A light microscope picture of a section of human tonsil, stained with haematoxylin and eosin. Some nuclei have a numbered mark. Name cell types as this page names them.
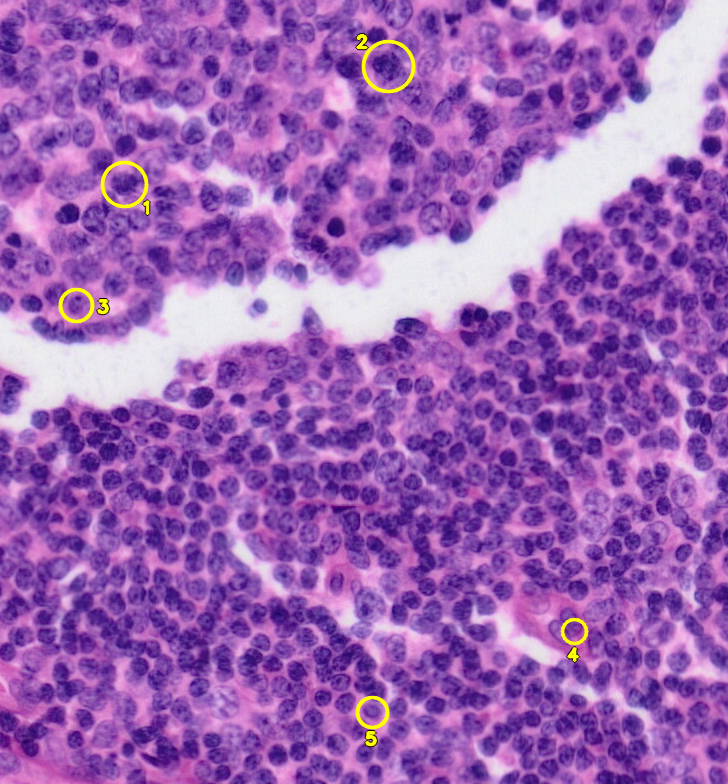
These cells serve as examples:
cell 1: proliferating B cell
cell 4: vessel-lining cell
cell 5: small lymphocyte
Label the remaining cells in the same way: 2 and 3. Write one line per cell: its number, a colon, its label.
2: proliferating B cell
3: proliferating B cell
